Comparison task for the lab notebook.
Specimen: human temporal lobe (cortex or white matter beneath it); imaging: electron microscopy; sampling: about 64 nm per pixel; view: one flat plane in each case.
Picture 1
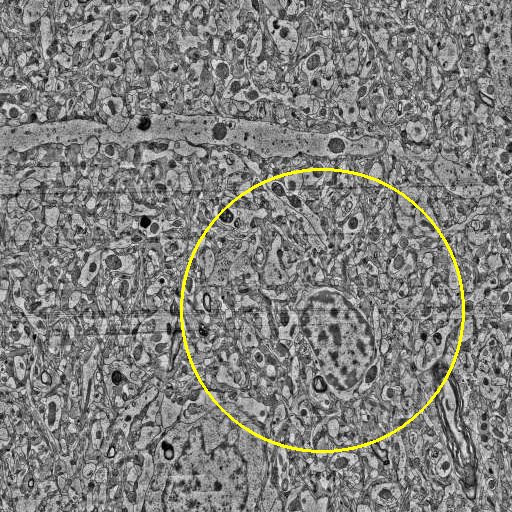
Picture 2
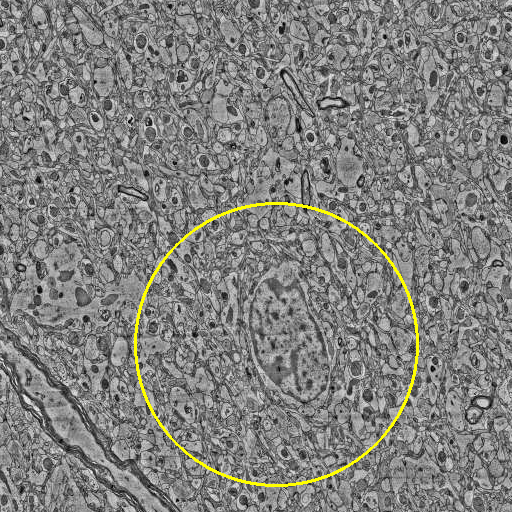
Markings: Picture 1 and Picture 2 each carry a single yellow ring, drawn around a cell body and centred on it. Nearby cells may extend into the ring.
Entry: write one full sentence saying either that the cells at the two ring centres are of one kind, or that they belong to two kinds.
The cells sitting at the ring centres in Picture 1 and Picture 2 are of one kind.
